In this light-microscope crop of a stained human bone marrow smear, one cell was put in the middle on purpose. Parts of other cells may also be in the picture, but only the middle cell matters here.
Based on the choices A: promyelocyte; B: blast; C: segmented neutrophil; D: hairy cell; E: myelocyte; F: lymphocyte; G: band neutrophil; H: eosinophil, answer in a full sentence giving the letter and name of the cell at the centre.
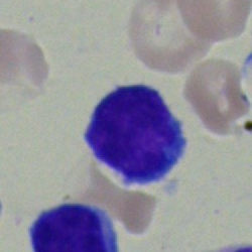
The correct choice is option F, which identifies the middle cell as a lymphocyte.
